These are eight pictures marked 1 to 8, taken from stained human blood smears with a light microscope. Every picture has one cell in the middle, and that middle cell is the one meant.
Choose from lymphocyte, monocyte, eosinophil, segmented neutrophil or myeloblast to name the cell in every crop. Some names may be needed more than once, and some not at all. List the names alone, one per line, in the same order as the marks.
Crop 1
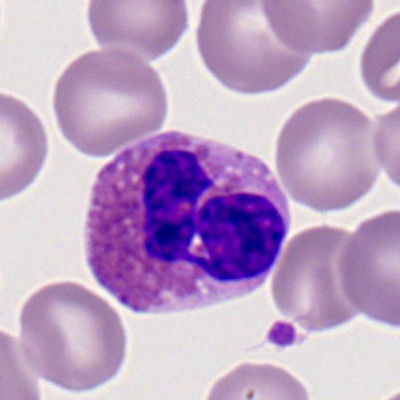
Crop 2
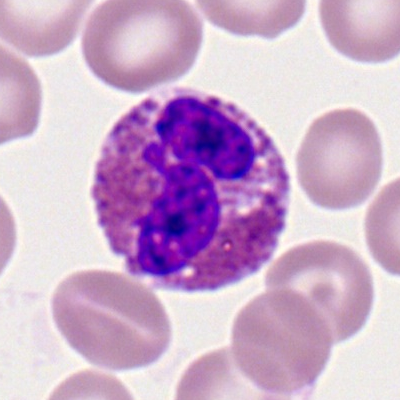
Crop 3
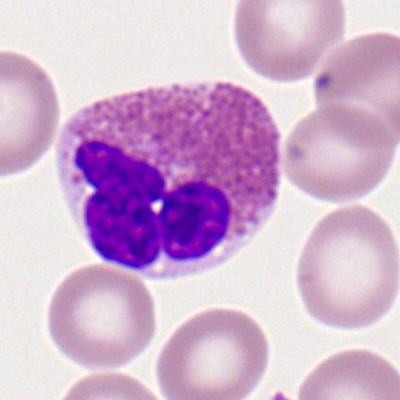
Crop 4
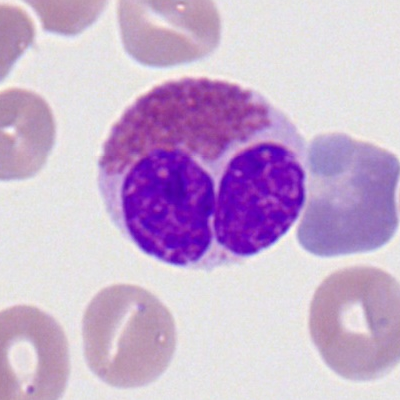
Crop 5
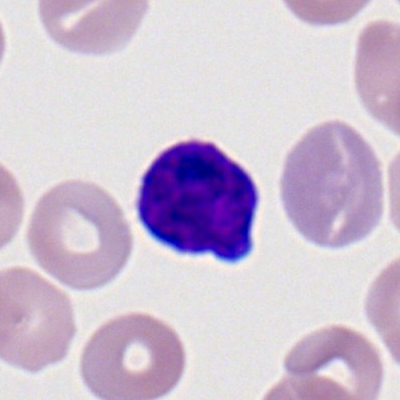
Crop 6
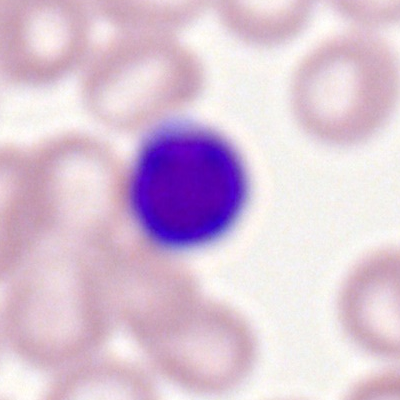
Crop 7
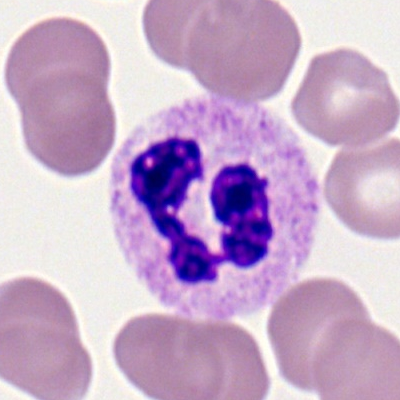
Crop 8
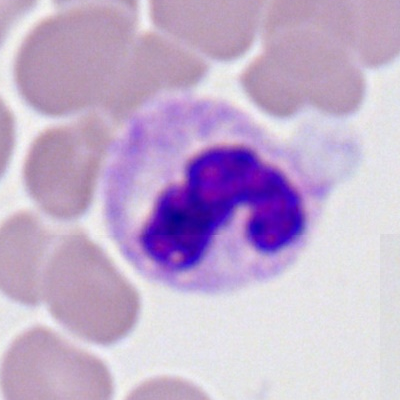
eosinophil
eosinophil
eosinophil
eosinophil
lymphocyte
lymphocyte
segmented neutrophil
segmented neutrophil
